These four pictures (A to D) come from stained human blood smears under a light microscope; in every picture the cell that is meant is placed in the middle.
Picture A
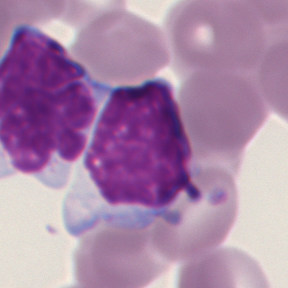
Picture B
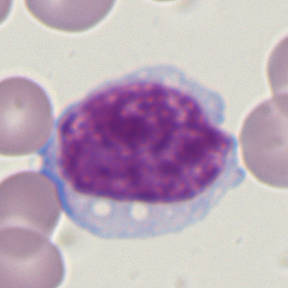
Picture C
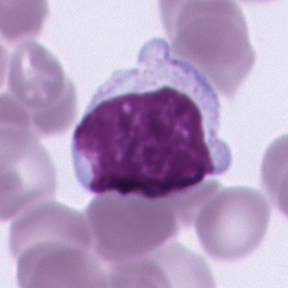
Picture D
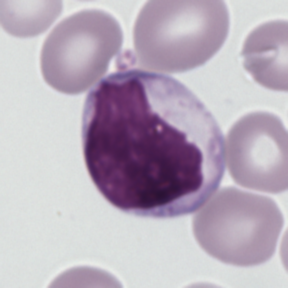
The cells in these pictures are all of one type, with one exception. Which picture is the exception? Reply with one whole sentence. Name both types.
Unlike the rest, which show large granular lymphocytes, picture B shows a myeloblast.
